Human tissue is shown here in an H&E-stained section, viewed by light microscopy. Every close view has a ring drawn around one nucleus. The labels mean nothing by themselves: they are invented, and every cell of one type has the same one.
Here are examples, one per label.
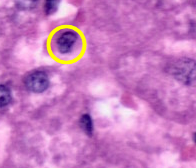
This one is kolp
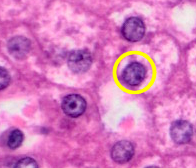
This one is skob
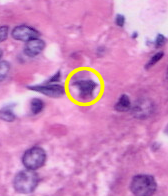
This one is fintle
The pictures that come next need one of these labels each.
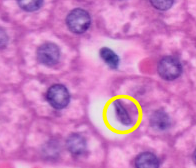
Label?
kolp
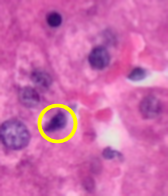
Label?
fintle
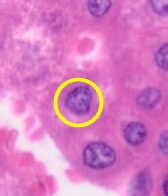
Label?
skob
